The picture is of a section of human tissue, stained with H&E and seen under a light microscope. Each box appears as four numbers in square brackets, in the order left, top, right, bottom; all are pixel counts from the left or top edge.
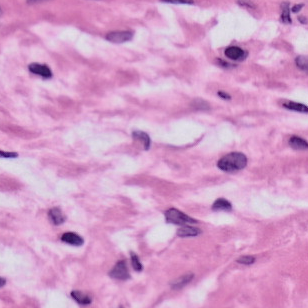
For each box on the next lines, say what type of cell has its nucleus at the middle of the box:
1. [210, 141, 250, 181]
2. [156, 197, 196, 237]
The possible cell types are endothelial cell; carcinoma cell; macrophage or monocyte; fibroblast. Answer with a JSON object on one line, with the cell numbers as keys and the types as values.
{"1": "macrophage or monocyte", "2": "fibroblast"}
